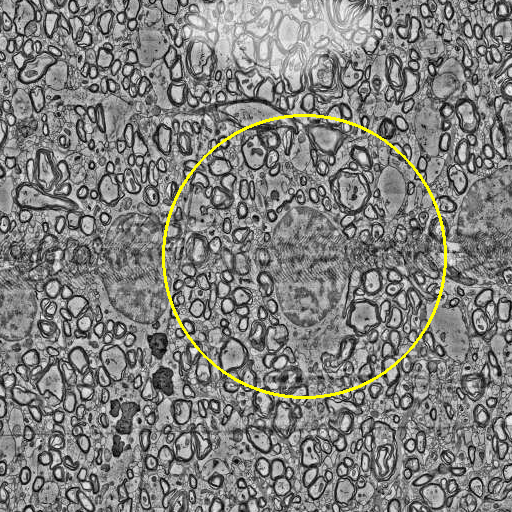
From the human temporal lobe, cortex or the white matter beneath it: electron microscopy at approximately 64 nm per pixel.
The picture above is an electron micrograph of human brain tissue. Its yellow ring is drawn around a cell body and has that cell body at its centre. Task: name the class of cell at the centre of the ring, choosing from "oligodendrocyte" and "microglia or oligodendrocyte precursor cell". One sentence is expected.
The ring surrounds the body of an oligodendrocyte.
